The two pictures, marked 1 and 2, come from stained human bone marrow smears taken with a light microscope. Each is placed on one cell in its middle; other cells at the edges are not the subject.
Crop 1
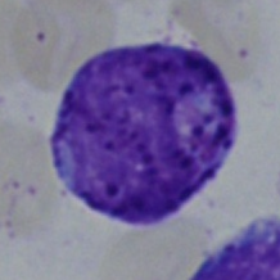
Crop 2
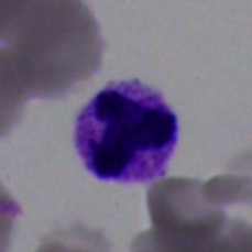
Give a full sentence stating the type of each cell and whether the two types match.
No, as for crop 1, it shows a basophil, and crop 2 shows a segmented neutrophil.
